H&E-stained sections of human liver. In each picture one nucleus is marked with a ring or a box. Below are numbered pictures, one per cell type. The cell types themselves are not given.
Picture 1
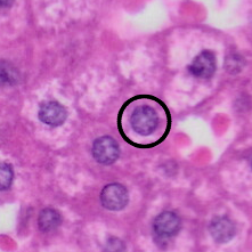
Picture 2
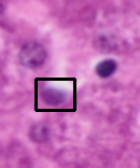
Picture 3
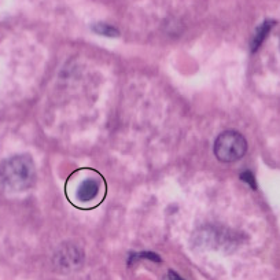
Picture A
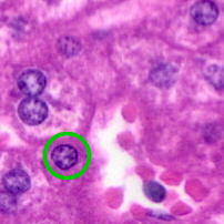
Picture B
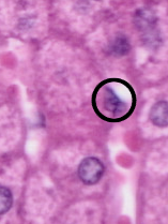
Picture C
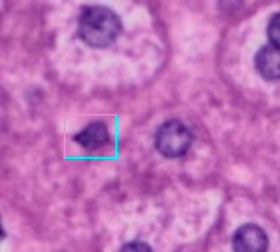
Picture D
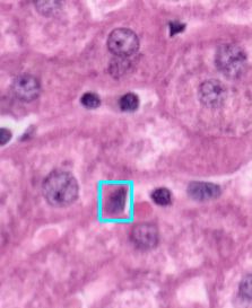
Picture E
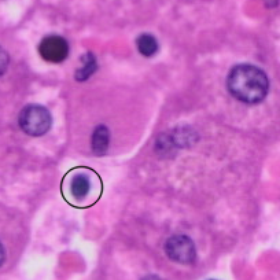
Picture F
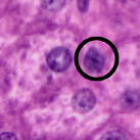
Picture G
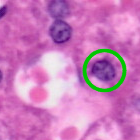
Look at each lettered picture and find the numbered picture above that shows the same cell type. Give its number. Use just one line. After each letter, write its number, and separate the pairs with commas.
A 1, B 2, C 2, D 2, E 3, F 2, G 1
